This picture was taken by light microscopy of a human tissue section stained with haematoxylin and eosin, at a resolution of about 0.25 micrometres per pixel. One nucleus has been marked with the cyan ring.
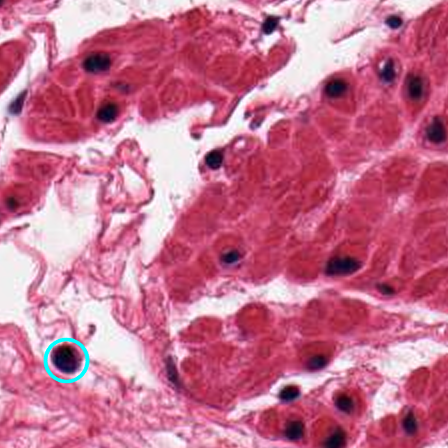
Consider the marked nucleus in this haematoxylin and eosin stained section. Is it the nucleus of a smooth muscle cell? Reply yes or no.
no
